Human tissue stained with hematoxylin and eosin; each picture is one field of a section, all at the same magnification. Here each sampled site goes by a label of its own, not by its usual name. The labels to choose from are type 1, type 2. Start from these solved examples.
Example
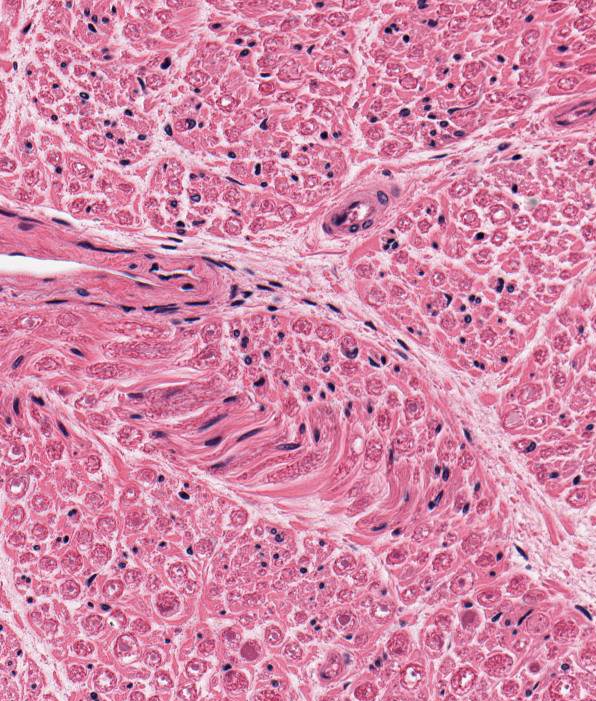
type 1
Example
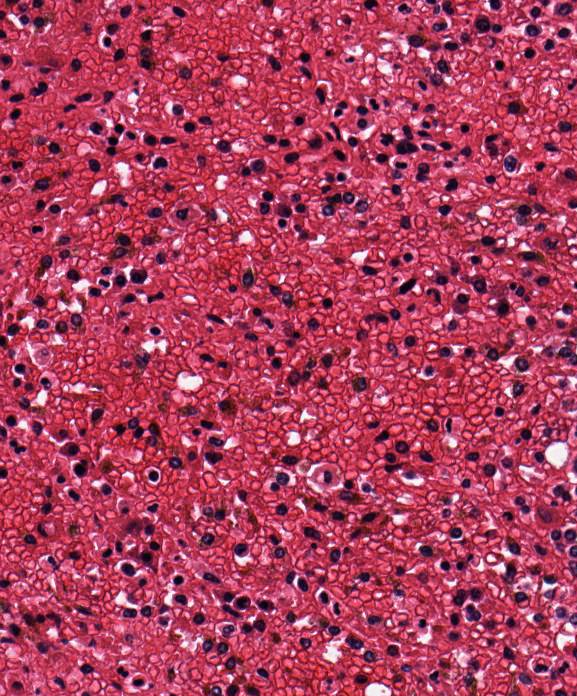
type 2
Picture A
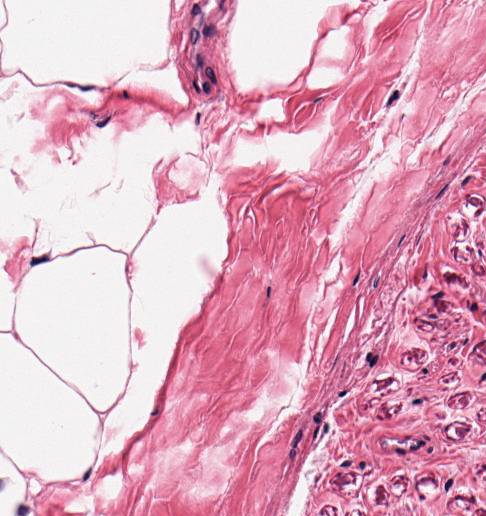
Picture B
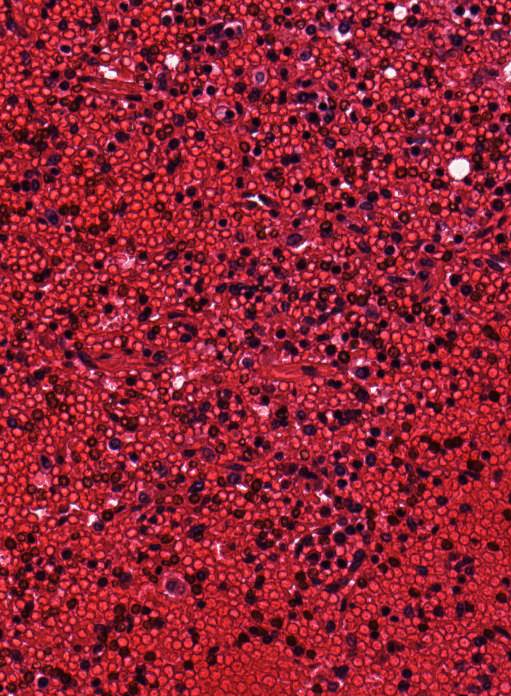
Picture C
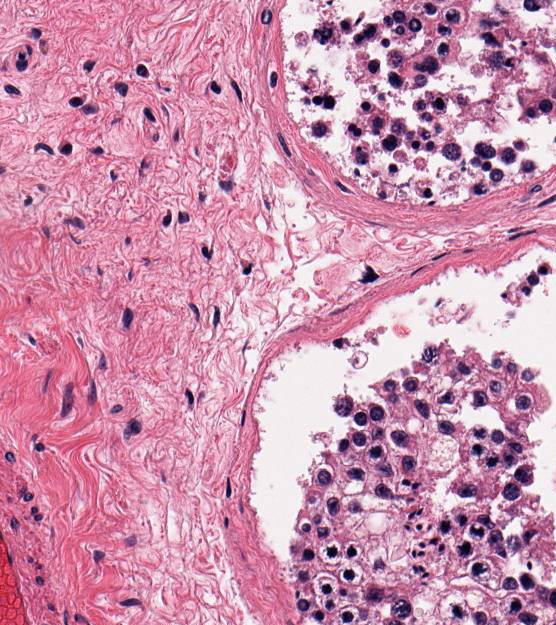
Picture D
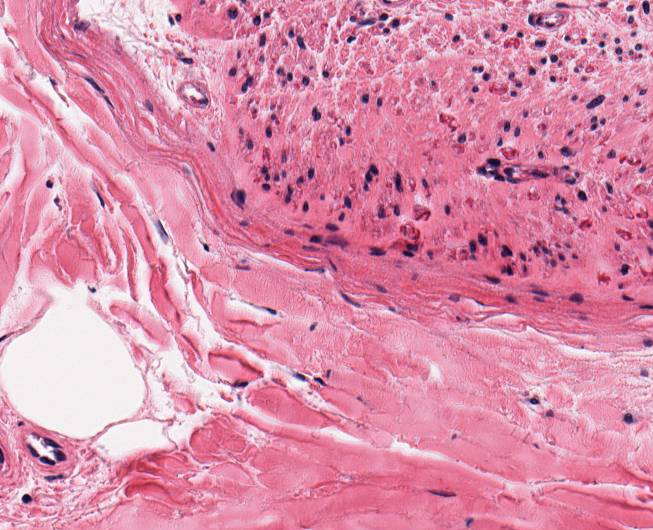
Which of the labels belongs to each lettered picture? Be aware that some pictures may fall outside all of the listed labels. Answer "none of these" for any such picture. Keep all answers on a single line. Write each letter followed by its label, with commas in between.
A type 1, B type 2, C none of these, D type 1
